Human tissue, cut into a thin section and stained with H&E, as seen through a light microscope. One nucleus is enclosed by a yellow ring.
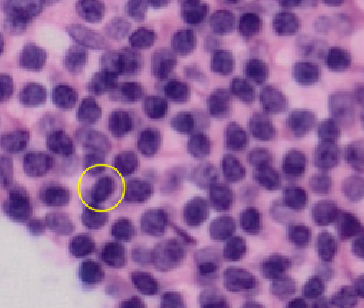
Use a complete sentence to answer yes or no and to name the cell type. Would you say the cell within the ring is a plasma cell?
No, the cell within the ring is classed as a small lymphocyte, not a plasma cell.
